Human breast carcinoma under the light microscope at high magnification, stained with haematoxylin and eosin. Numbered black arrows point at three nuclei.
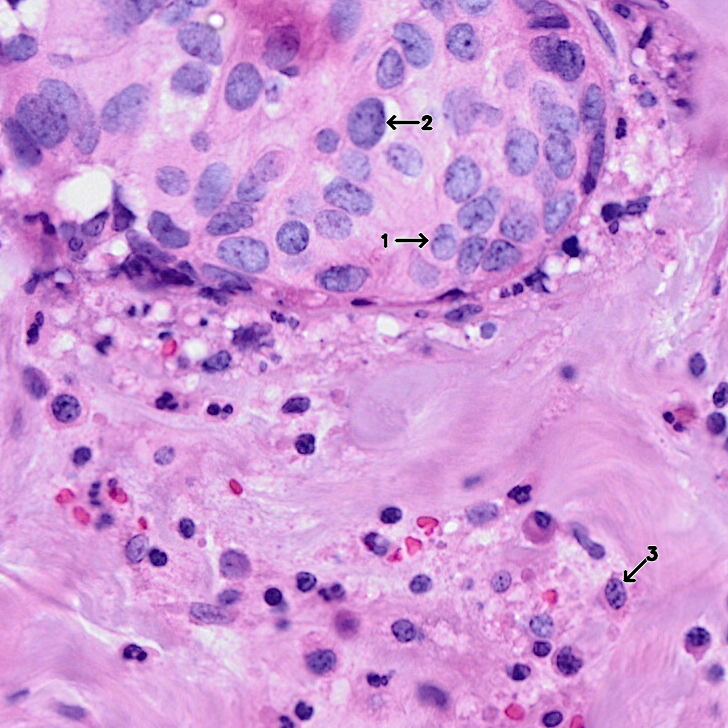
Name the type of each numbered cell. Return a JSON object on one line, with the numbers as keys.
{"1": "carcinoma cell", "2": "carcinoma cell", "3": "mast cell"}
